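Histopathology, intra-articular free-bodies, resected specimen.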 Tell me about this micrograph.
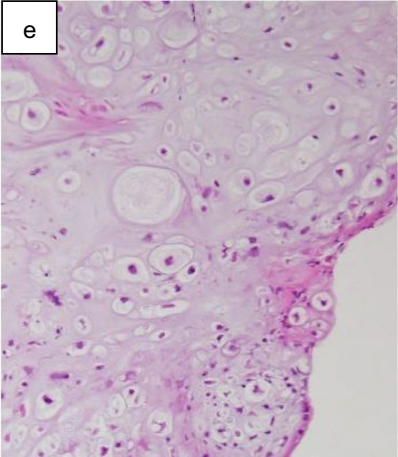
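This is hyaline cartilage made up of chondrocytes lying in clear lacunae within a pale, glassy bluish-pink matrix. Toward the edge of the nodule the cells become smaller, more crowded and flatter.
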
